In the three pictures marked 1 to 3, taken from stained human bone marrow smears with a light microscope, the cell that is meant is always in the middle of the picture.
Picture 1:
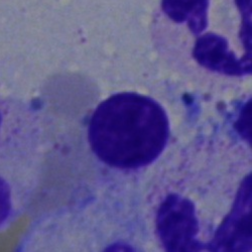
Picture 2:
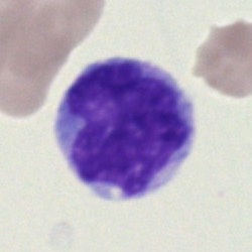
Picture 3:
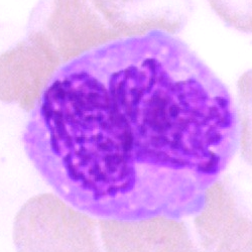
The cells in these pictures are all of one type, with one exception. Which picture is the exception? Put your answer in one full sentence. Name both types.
Picture 1 is the odd one out: it shows a lymphocyte, while the others show monocytes.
